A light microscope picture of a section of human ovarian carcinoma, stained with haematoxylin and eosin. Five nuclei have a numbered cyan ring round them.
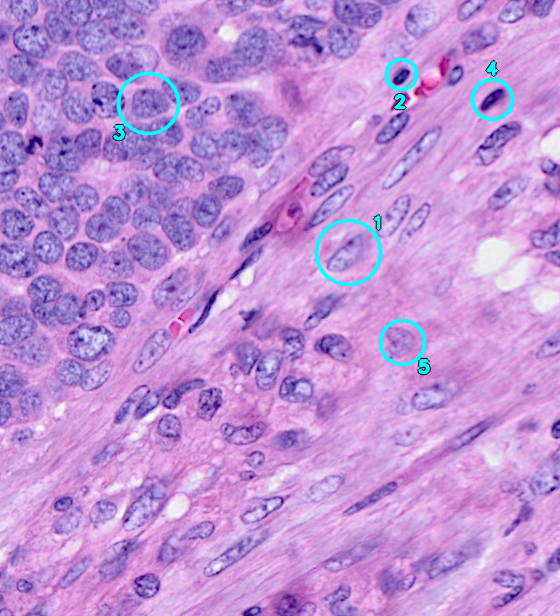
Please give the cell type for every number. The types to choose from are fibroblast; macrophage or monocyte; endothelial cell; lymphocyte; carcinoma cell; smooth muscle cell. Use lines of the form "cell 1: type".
cell 1: fibroblast
cell 2: lymphocyte
cell 3: carcinoma cell
cell 4: lymphocyte
cell 5: fibroblast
